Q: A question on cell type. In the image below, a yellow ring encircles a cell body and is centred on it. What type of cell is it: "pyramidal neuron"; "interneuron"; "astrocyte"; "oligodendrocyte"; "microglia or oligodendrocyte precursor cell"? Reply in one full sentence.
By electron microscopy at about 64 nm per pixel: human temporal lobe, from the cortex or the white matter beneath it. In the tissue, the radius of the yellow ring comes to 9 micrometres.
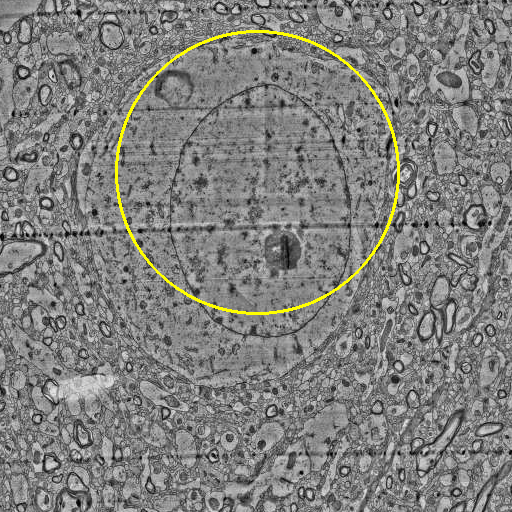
It is a pyramidal neuron whose cell body sits at the centre of the yellow ring in the image.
